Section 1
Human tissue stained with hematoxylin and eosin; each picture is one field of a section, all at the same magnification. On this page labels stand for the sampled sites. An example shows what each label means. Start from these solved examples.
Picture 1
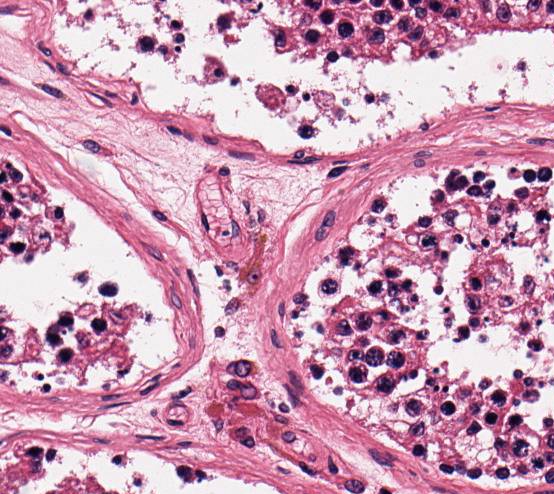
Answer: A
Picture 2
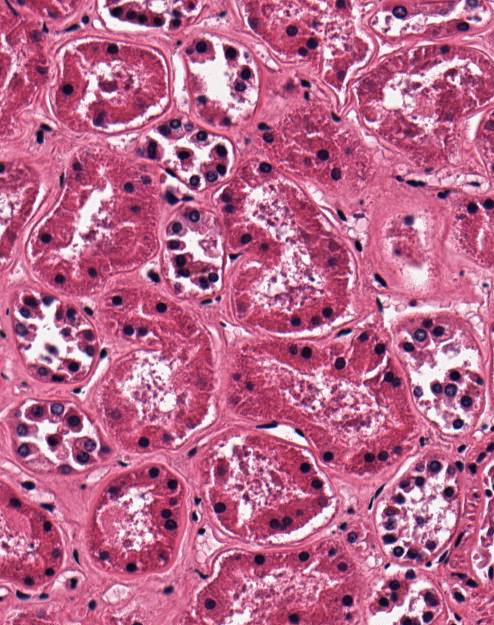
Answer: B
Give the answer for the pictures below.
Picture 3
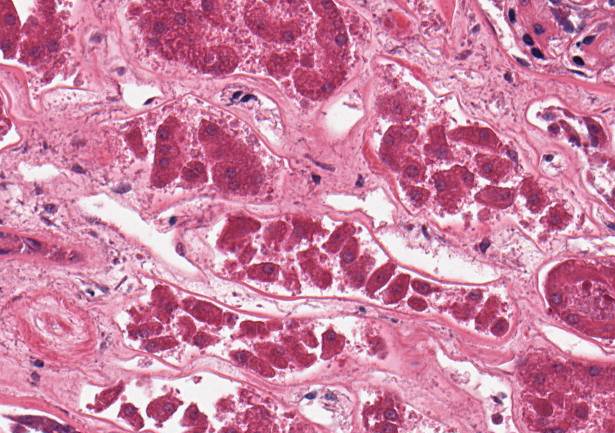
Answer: B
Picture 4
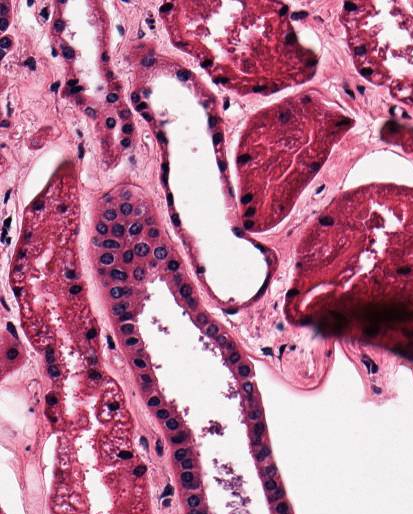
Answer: B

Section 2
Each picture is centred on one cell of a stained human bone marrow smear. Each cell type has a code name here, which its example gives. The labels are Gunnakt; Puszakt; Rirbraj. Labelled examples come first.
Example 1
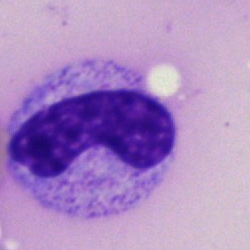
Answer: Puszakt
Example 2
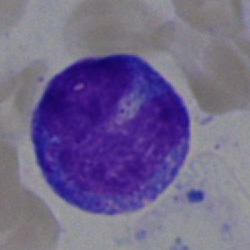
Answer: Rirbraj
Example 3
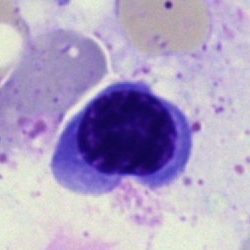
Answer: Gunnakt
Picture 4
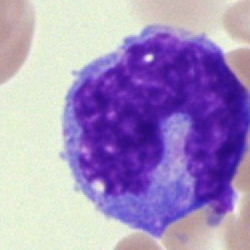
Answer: Rirbraj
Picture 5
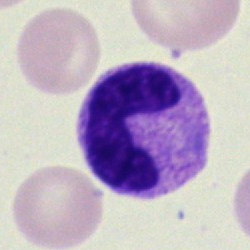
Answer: Puszakt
